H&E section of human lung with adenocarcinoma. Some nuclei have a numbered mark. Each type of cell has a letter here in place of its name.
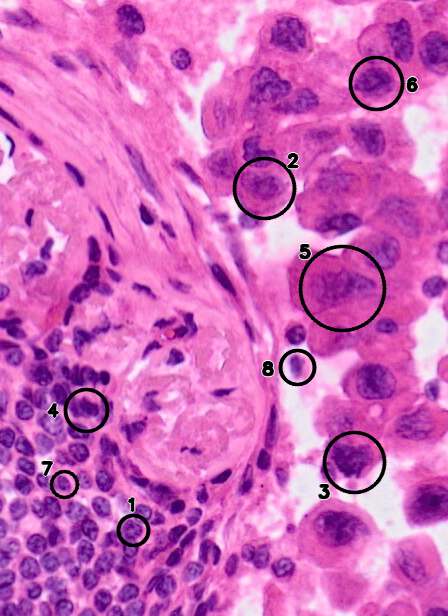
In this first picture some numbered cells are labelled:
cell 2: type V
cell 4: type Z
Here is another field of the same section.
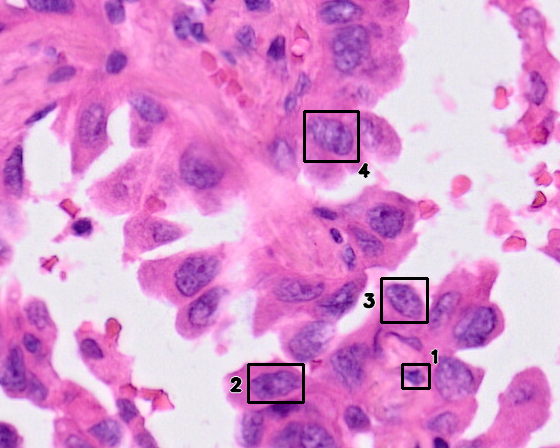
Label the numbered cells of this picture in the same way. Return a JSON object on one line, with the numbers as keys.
{"1": "type Z", "2": "type V", "3": "type V", "4": "type V"}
